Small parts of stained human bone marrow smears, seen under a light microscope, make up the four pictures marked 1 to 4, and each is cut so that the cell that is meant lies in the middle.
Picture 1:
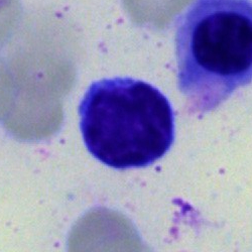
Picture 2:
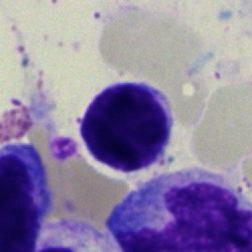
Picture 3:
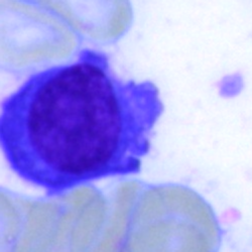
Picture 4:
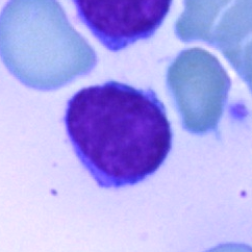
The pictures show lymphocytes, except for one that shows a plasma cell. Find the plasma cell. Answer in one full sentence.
It is picture 3 that shows the plasma cell.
